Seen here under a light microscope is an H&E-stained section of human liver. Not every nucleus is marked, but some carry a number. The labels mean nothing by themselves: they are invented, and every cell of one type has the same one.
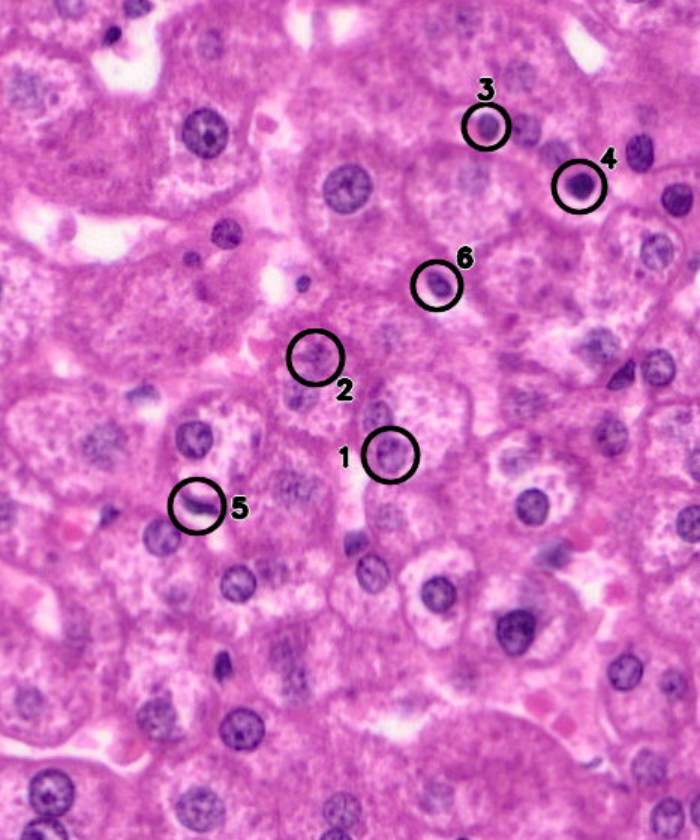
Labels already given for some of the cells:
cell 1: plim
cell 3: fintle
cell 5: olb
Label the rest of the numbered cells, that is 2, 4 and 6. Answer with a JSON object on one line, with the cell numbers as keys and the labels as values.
{"2": "plim", "4": "fintle", "6": "fintle"}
